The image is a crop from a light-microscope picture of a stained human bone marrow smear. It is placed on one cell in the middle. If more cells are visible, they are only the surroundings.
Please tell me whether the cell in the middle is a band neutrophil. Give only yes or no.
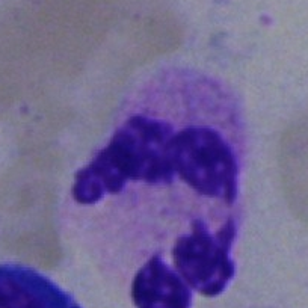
no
